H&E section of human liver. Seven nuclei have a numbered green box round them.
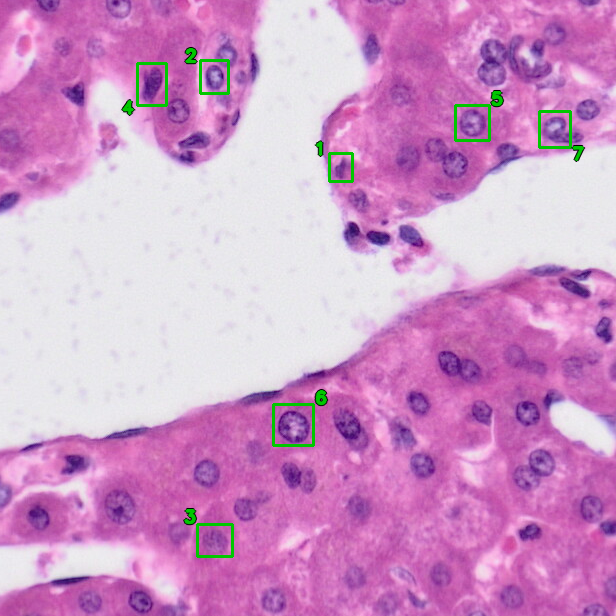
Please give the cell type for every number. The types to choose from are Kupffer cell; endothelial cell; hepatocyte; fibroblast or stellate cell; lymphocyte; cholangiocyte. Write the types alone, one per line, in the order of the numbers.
fibroblast or stellate cell
cholangiocyte
hepatocyte
fibroblast or stellate cell
hepatocyte
hepatocyte
cholangiocyte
